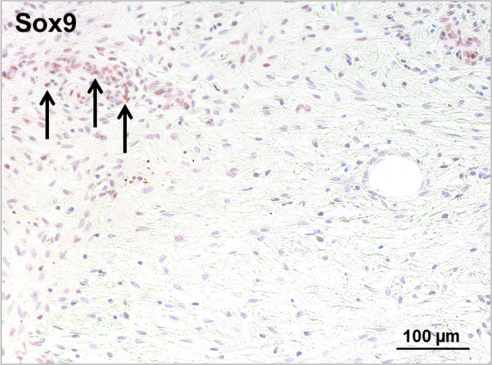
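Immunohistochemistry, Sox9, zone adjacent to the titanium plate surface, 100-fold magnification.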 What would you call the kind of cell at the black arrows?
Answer: Osteo-chondroprogenitor cells.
